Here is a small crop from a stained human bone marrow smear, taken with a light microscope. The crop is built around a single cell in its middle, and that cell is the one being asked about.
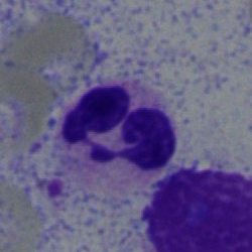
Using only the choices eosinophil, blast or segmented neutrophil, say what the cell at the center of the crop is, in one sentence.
As for the central cell, it is a segmented neutrophil.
